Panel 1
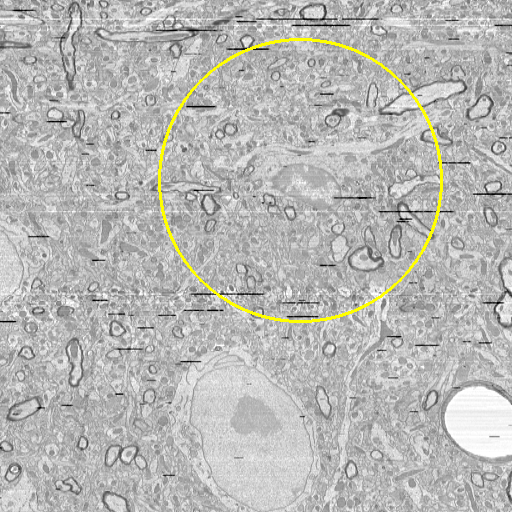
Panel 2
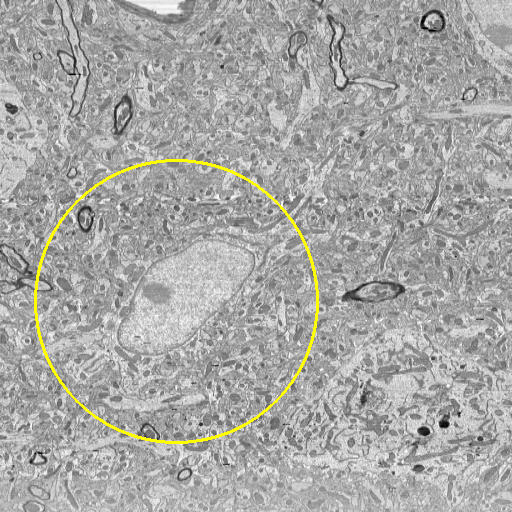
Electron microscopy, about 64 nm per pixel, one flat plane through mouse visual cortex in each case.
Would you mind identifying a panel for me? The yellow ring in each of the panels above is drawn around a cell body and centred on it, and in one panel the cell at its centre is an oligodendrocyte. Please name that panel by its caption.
Panel 1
